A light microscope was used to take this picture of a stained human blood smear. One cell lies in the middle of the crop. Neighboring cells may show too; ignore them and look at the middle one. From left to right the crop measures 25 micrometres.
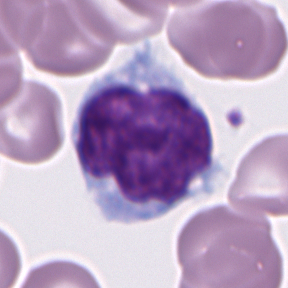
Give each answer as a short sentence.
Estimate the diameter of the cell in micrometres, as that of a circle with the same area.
The cell is about 13 micrometres across.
